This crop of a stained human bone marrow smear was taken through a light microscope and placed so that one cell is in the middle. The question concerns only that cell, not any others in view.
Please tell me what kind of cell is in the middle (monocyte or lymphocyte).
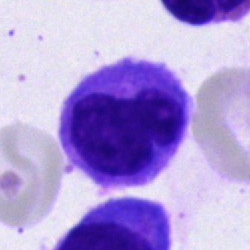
monocyte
